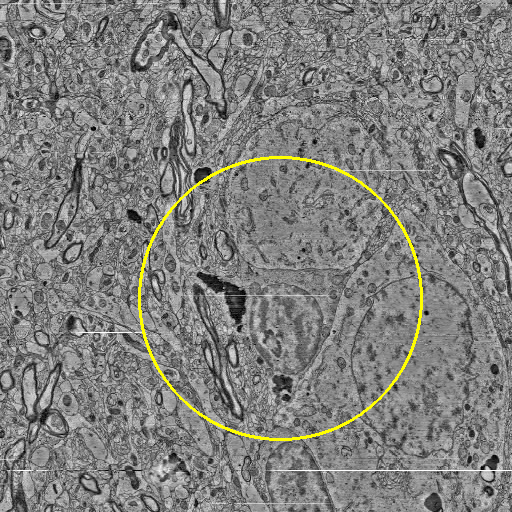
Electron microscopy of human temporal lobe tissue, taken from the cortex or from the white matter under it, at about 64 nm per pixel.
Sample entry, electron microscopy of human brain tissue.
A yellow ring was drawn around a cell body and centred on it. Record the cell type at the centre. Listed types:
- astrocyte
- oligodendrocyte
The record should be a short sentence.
The cell at the ring's centre is an oligodendrocyte.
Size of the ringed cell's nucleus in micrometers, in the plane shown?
The nucleus is approximately 6 micrometers across in this plane.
